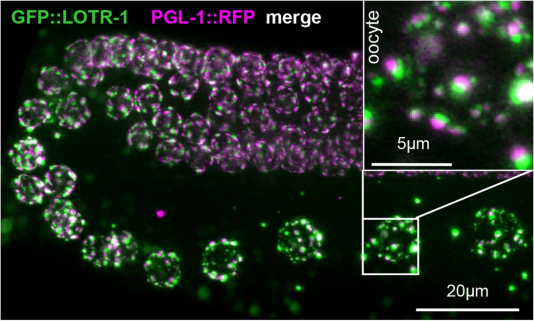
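The green and magenta puncta often sit side by side as adjacent pairs rather than fully overlapping, as the enlarged inset shows. Past the bend the cells are larger and more widely spaced.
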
